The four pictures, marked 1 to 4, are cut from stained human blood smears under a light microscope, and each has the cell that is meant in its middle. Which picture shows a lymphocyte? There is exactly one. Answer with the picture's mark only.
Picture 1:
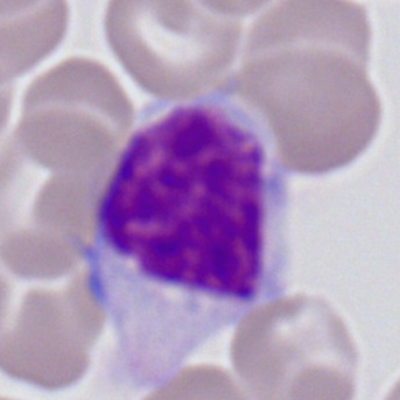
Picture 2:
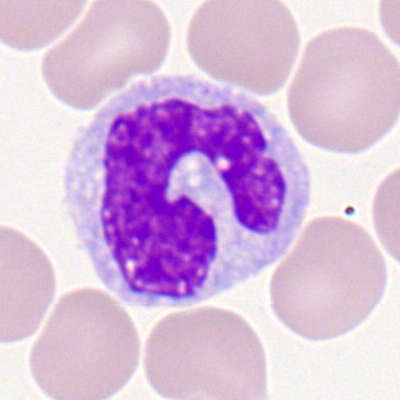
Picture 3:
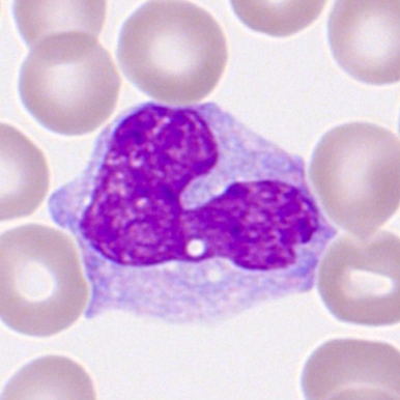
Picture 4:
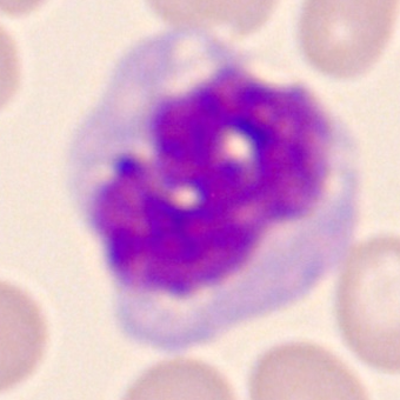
1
